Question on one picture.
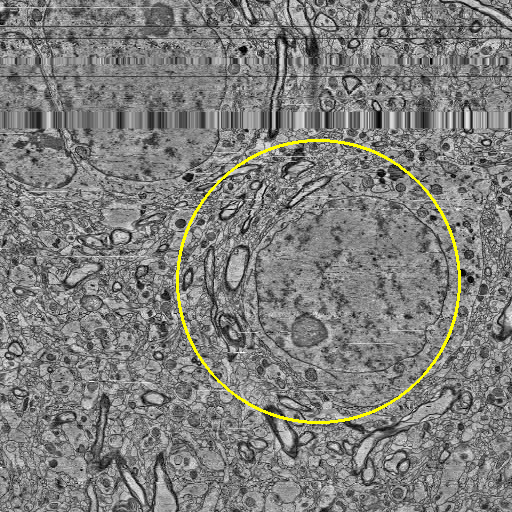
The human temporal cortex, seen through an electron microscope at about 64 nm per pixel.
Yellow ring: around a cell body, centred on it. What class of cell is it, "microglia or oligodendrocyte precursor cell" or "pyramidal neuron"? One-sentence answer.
This is a pyramidal neuron, the cell the ring is centred on.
